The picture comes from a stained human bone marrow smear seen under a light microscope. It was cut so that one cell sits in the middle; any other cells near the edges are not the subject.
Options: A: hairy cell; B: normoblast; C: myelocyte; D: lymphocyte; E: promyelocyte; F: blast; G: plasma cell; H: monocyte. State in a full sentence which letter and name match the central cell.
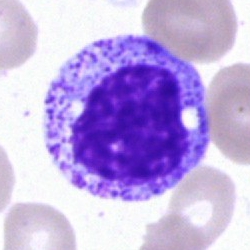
According to option C, which is correct, the cell in the middle is a myelocyte.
